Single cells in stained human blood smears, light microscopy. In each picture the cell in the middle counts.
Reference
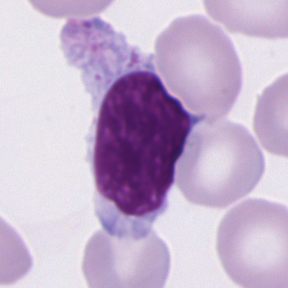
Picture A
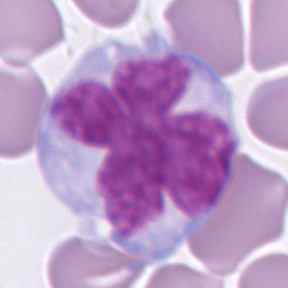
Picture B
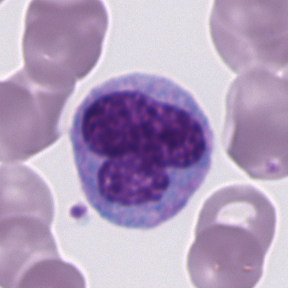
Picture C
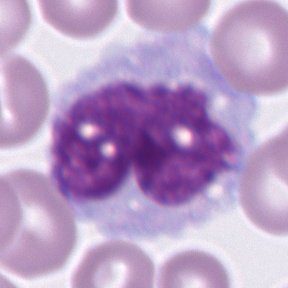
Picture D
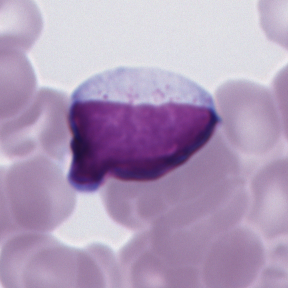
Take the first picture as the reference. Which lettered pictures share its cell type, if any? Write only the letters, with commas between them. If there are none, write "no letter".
D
